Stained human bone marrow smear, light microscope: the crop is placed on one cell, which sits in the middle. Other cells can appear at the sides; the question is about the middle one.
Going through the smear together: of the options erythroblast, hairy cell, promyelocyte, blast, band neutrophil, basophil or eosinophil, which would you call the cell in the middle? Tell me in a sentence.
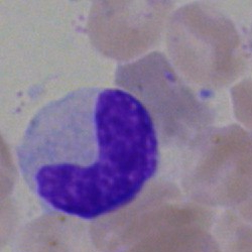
The cell at the middle of the frame should be recorded as a band neutrophil.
